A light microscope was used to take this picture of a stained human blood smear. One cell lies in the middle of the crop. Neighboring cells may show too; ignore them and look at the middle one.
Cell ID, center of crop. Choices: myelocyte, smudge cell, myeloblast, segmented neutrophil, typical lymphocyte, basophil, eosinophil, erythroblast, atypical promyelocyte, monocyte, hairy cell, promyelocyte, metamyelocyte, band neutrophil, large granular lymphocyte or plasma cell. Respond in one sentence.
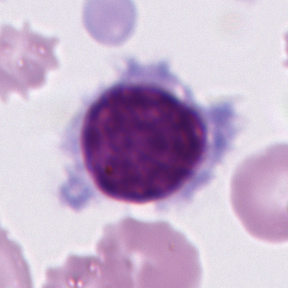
The center cell of this crop is a hairy cell.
